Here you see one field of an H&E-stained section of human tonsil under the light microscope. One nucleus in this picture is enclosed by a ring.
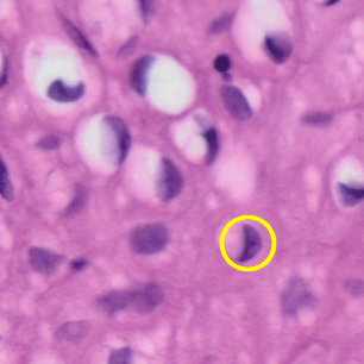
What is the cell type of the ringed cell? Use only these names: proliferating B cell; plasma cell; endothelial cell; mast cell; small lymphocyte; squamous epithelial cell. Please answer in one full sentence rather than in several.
It is as a squamous epithelial cell that the ringed cell is classified.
